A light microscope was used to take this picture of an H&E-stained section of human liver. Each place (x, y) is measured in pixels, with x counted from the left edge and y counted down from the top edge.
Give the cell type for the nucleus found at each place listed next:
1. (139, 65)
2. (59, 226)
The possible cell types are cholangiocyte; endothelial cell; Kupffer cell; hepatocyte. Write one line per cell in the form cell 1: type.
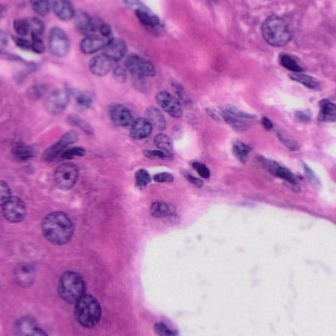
cell 1: cholangiocyte
cell 2: hepatocyte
